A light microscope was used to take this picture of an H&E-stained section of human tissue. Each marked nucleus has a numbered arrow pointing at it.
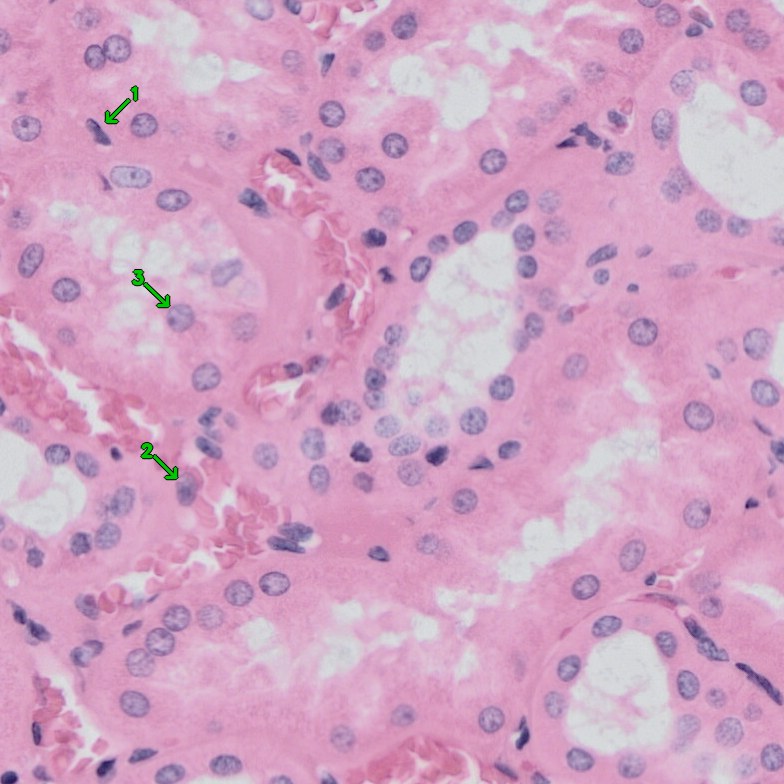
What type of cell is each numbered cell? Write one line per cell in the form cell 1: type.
cell 1: endothelial cell
cell 2: endothelial cell
cell 3: proximal tubule cell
